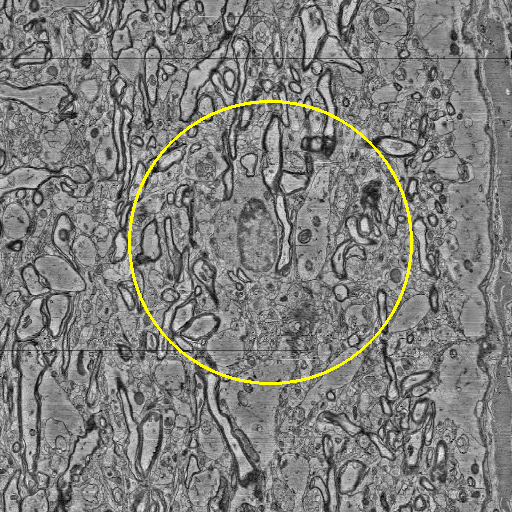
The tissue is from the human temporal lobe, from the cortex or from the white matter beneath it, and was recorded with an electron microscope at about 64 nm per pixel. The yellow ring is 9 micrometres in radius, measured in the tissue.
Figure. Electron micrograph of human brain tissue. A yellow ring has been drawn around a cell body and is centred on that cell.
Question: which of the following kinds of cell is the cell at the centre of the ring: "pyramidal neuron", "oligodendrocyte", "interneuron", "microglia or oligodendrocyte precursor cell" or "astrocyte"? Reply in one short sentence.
The cell at the centre of the ring is an oligodendrocyte.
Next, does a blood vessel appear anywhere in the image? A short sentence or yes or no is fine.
Yes, there is a blood vessel in the image.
